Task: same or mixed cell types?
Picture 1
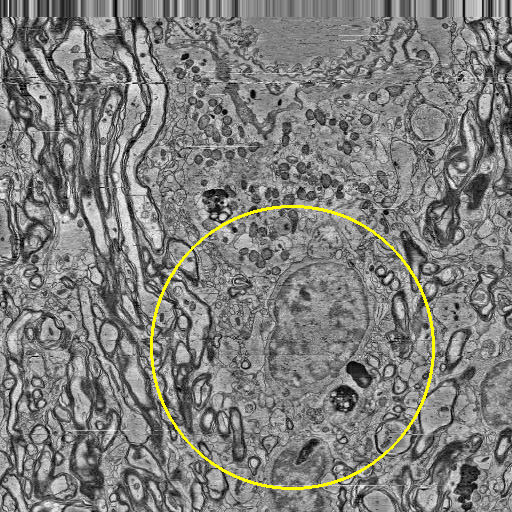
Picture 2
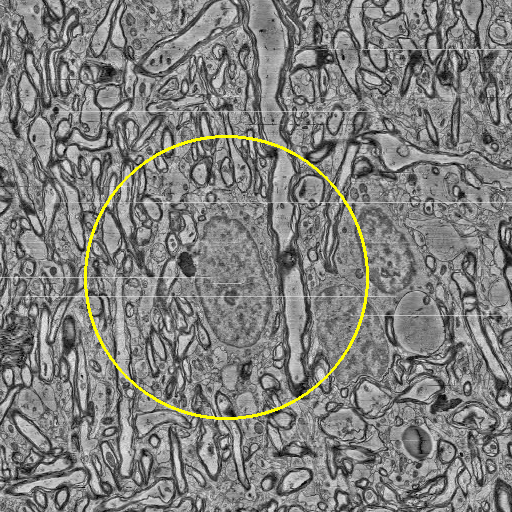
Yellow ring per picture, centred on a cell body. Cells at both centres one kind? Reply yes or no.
yes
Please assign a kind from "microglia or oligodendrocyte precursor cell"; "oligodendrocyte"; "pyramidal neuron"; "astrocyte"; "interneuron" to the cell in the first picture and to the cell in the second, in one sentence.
The cell in the first picture is an oligodendrocyte, and so is the one in the second.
